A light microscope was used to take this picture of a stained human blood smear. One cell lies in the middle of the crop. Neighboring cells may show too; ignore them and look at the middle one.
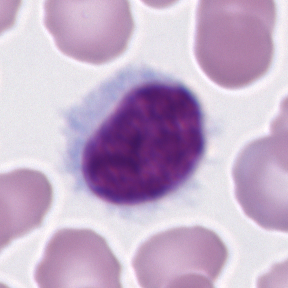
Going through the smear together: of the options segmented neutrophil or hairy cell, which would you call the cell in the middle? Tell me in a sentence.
The middle of this crop is occupied by a hairy cell.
